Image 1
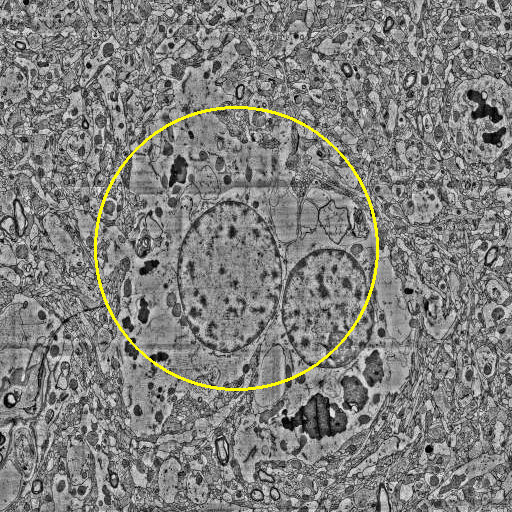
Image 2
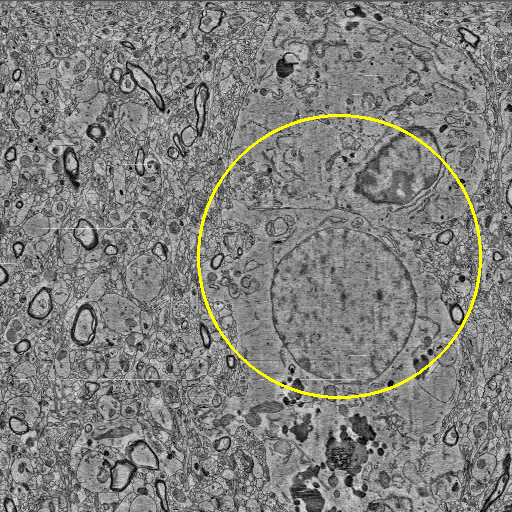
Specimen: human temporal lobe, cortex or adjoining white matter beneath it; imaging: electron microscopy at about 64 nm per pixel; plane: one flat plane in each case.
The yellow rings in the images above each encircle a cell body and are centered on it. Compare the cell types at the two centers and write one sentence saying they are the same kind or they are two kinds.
Taken together, the two cells at the ring centers are the same kind.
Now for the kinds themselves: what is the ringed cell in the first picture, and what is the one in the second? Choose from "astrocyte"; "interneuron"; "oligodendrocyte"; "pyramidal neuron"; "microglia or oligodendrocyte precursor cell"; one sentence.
In both pictures the ring is centred on an astrocyte.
